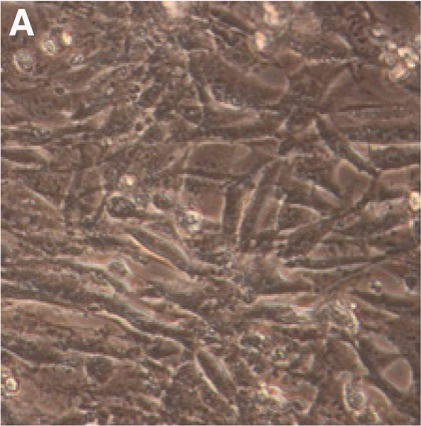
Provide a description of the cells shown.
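The cells are flat, elongated and spindle-shaped with tapering ends, lying closely side by side in parallel and swirling arrays. No droplets are seen in their cytoplasm.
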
